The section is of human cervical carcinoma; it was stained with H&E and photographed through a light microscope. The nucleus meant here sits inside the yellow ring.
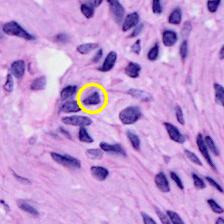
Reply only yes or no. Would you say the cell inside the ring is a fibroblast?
yes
